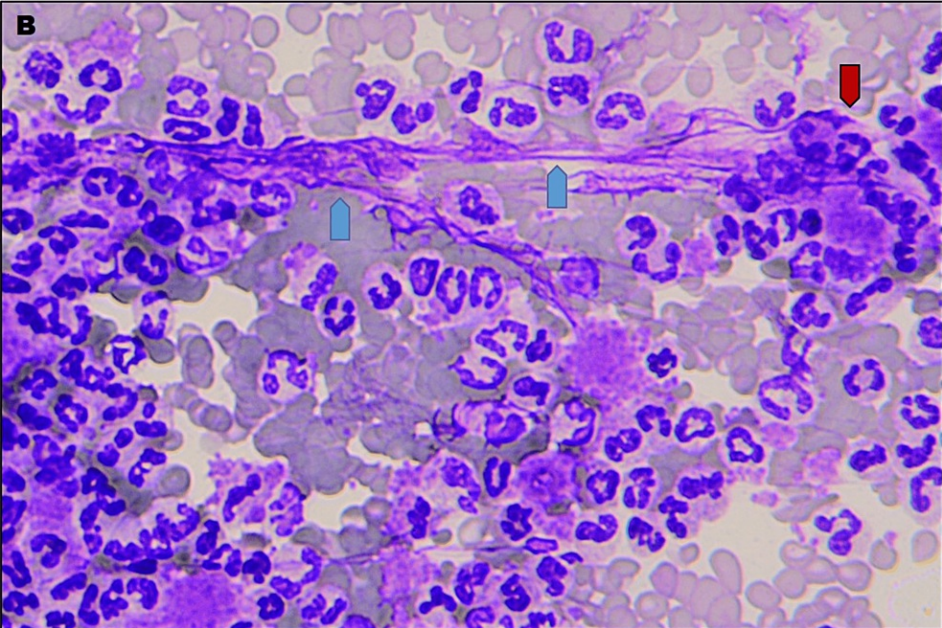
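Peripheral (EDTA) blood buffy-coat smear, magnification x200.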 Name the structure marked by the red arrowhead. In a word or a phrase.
Platelet-leukocyte aggregates.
